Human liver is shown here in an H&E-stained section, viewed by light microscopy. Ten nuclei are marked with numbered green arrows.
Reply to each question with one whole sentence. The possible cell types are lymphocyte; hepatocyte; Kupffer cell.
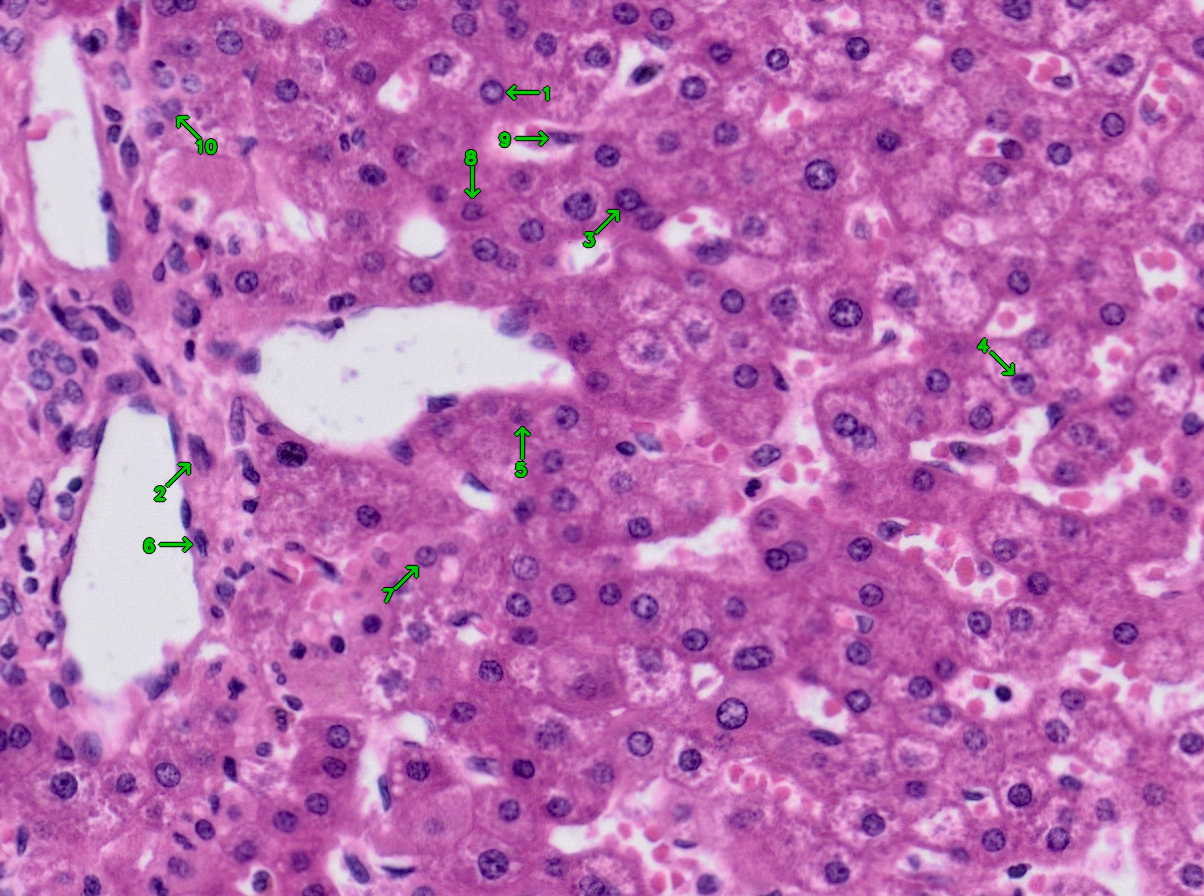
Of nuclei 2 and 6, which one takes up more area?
The larger nucleus is 2, at roughly 1.5 times the area of 6.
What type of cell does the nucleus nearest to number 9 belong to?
It is a hepatocyte whose nucleus is nearest to number 9.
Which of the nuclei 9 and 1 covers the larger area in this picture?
It is nucleus 1, which covers about 1.5 times the area of nucleus 9.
